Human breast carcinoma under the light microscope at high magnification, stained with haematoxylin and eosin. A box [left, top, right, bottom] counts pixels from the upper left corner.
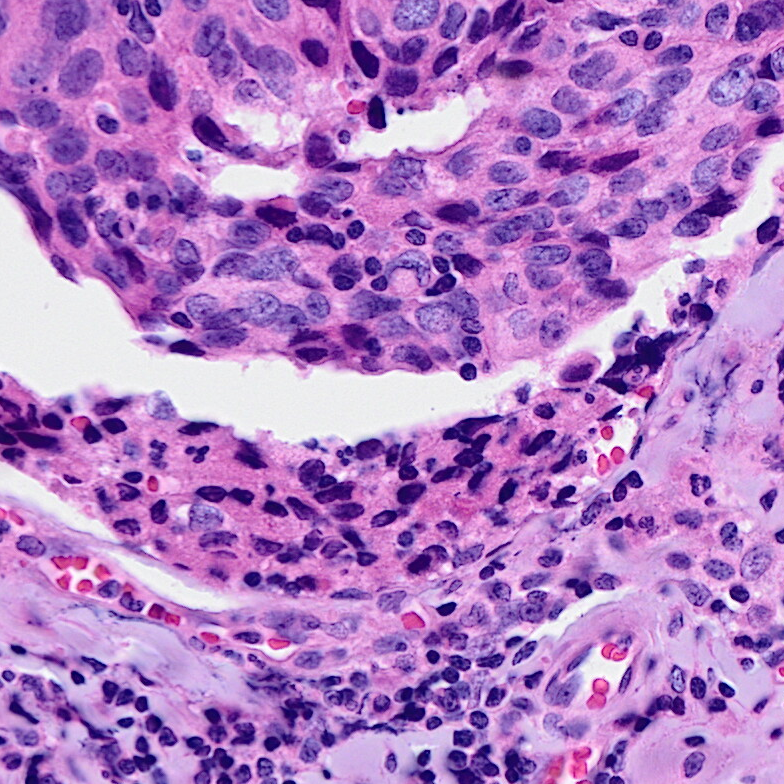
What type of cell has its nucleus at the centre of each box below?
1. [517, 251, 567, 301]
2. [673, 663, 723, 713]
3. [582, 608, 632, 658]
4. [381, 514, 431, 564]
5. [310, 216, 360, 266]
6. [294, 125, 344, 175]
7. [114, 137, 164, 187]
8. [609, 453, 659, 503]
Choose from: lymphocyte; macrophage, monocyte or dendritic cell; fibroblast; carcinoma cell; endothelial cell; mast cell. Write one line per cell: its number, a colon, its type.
1: carcinoma cell
2: lymphocyte
3: endothelial cell
4: lymphocyte
5: lymphocyte
6: carcinoma cell
7: carcinoma cell
8: lymphocyte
